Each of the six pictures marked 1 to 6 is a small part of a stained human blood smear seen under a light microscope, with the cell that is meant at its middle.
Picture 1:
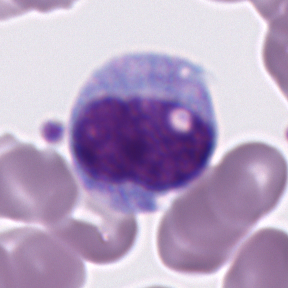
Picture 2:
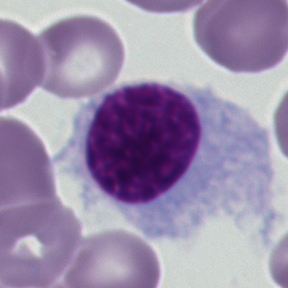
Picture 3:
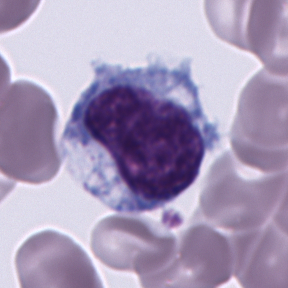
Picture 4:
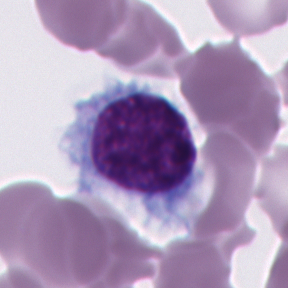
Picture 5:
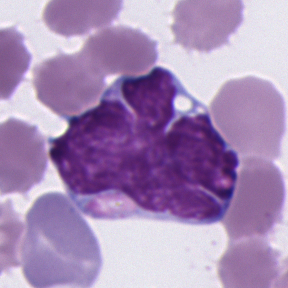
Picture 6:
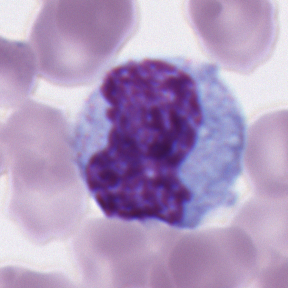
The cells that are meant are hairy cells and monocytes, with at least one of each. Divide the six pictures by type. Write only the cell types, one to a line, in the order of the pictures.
monocyte
hairy cell
monocyte
hairy cell
monocyte
monocyte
